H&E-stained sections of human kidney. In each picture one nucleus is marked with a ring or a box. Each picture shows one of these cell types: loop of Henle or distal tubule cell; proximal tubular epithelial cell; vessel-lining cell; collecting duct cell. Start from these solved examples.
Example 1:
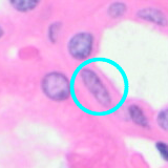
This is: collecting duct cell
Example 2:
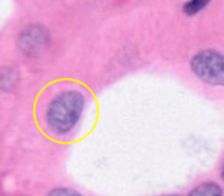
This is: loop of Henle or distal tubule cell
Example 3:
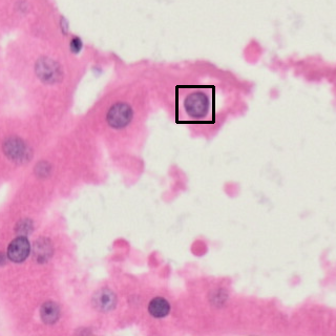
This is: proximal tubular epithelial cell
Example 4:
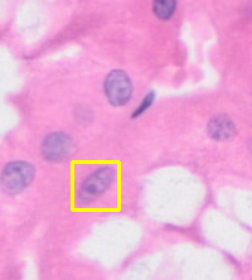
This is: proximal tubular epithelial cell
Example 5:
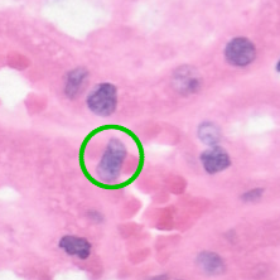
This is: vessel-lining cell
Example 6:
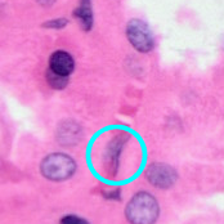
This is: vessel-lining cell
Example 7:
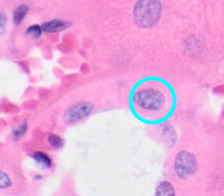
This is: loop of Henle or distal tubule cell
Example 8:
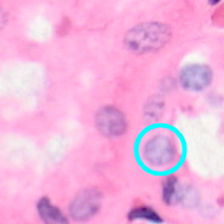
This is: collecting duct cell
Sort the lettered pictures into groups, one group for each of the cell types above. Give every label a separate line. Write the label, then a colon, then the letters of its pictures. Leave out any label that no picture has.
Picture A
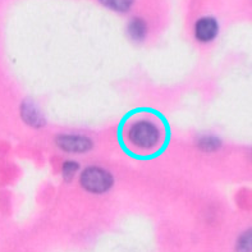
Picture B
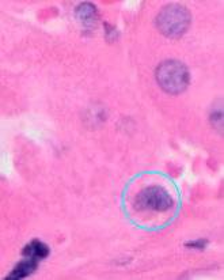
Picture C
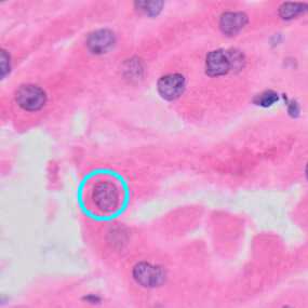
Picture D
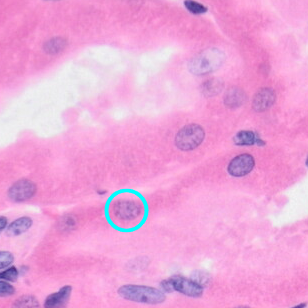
loop of Henle or distal tubule cell: A
proximal tubular epithelial cell: C, D
vessel-lining cell: B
